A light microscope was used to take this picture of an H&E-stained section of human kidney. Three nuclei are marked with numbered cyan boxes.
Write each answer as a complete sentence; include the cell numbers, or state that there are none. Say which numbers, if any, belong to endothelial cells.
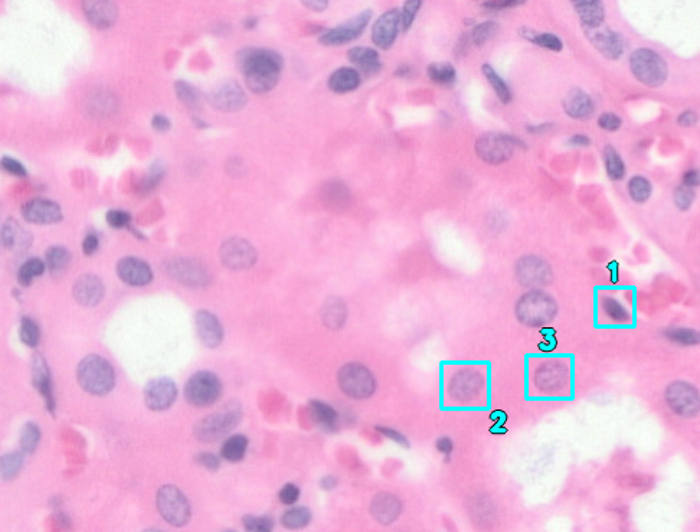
Cell 1 is an endothelial cell, and that holds for no other numbered cell.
